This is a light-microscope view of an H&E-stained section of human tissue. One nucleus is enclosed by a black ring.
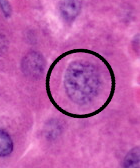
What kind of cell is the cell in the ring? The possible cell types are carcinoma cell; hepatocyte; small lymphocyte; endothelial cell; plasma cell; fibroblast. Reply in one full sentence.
By its classification, the cell in the ring is a hepatocyte.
